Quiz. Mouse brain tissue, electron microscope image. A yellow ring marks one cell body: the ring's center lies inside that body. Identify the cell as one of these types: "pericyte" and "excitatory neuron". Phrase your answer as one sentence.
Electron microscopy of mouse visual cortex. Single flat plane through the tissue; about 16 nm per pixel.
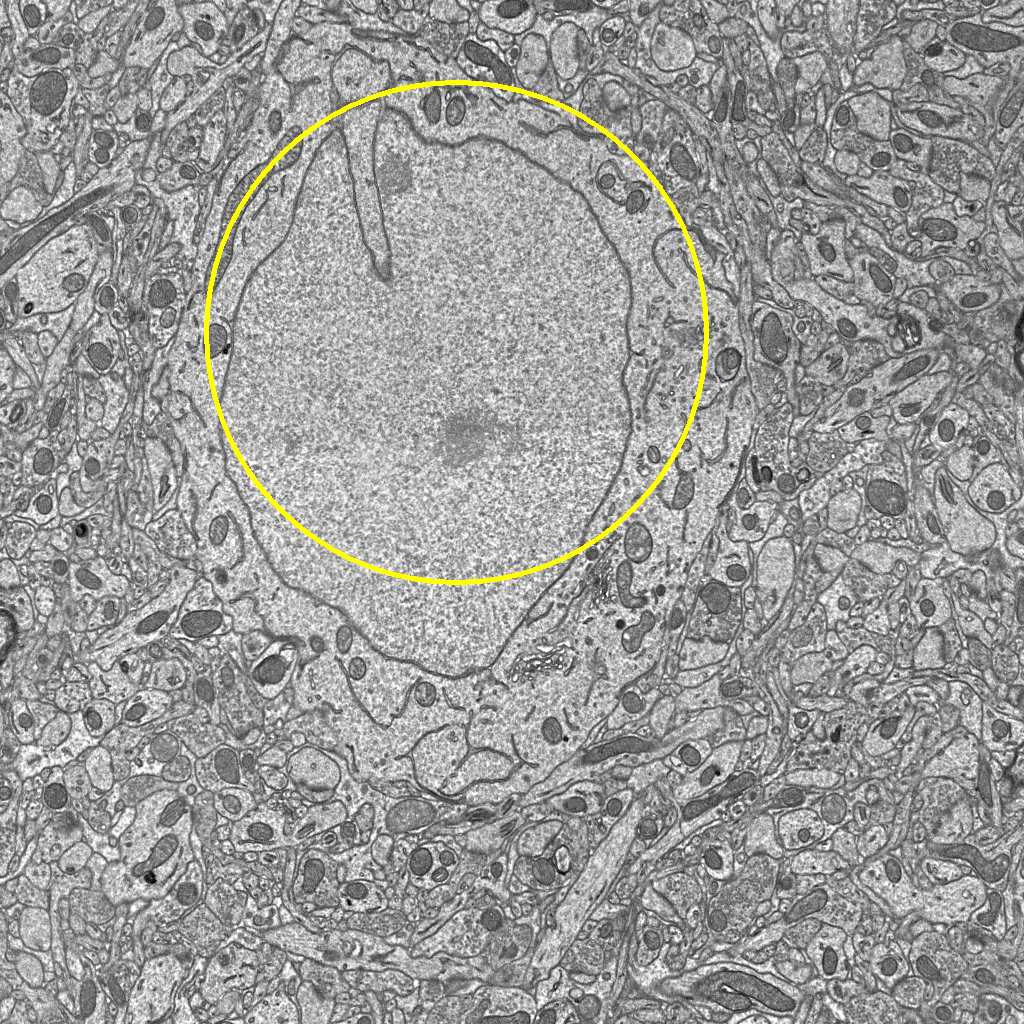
At the center of the ring sits an excitatory neuron.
